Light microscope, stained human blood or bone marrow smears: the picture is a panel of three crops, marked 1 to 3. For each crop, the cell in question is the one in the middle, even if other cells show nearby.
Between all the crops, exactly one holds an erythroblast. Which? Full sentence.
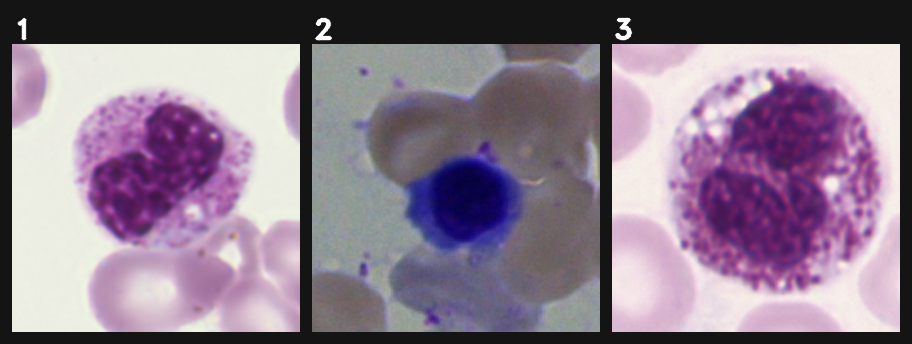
Crop 2 is the correct crop, and it shows an erythroblast.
